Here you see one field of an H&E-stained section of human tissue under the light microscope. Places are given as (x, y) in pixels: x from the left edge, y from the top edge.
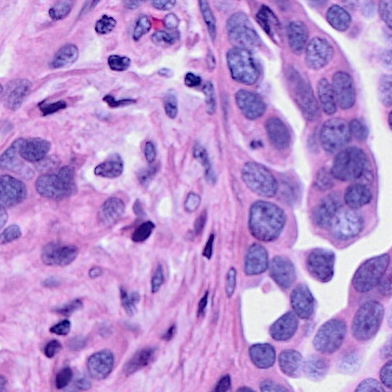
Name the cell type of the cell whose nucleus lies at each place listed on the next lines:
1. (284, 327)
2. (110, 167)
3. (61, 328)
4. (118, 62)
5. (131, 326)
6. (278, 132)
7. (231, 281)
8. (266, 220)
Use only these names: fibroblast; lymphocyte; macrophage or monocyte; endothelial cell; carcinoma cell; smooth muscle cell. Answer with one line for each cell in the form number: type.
1: carcinoma cell
2: macrophage or monocyte
3: lymphocyte
4: lymphocyte
5: fibroblast
6: carcinoma cell
7: fibroblast
8: carcinoma cell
